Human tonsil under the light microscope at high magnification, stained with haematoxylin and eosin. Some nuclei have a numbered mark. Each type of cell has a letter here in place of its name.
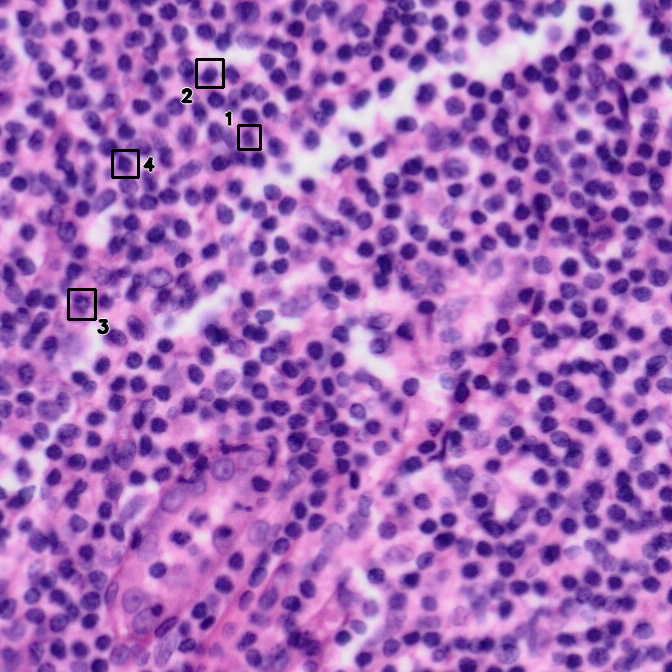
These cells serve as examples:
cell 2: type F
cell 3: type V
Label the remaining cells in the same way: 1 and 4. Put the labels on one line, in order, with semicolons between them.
type F; type F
